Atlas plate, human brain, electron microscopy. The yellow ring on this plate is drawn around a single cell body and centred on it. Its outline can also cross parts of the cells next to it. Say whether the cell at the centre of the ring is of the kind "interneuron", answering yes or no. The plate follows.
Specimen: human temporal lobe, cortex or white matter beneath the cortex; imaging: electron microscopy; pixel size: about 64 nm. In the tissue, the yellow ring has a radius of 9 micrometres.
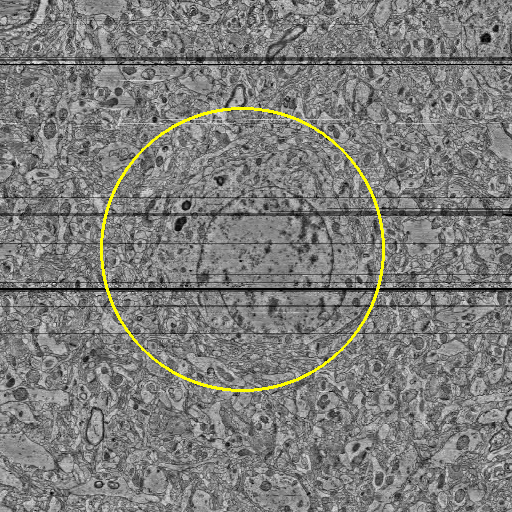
No, the cell is of another kind.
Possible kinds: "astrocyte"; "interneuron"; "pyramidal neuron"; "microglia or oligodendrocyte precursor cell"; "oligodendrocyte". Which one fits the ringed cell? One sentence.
Instead, what sits at the centre of the ring is a pyramidal neuron.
